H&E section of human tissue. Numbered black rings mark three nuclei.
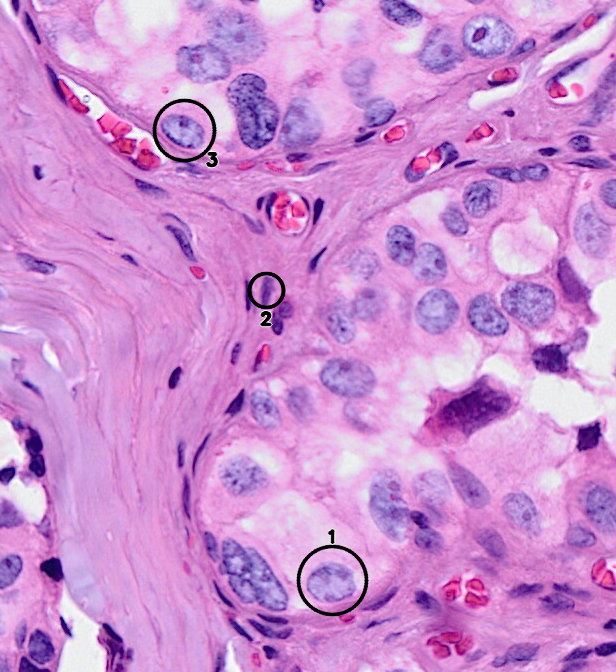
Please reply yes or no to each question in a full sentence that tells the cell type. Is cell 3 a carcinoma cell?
Yes, the cell given number 3 is a carcinoma cell.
